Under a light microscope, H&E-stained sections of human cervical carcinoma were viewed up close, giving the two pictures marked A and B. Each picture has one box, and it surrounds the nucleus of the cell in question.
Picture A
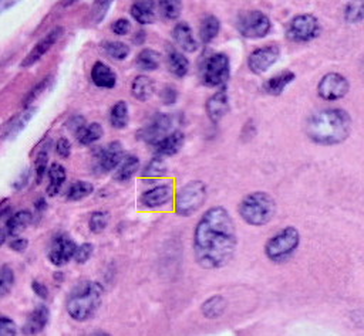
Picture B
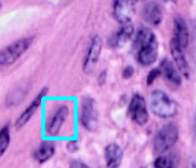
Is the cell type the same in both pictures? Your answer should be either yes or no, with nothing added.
yes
